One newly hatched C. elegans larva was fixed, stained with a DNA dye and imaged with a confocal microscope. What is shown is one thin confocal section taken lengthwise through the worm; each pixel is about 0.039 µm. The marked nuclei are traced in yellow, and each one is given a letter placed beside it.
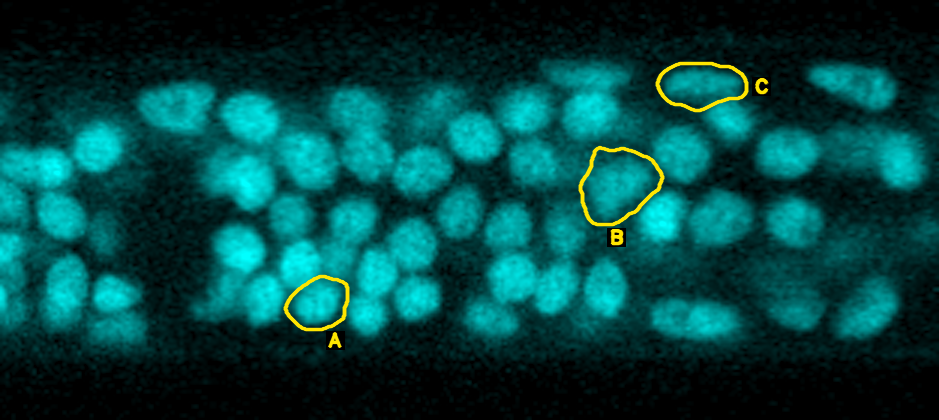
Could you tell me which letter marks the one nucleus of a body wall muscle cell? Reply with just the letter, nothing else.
C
